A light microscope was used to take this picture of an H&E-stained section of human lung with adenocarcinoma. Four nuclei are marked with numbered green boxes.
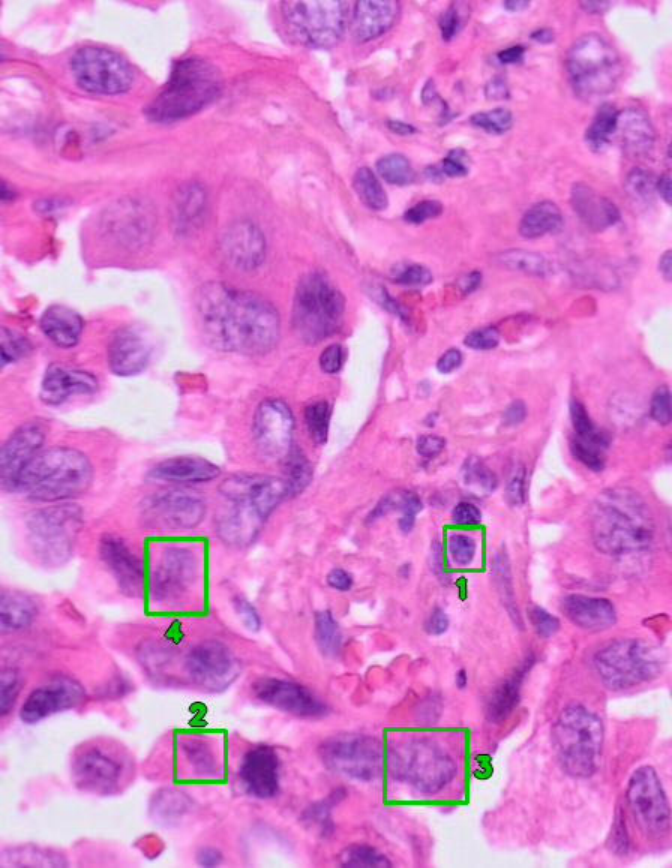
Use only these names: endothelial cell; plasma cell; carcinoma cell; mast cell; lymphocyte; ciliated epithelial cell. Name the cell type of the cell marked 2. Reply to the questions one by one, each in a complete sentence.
In the marked set, the cell given number 2 is a carcinoma cell.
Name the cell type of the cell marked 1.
Among the marked nuclei, number 1 belongs to a lymphocyte.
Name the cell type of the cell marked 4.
The cell indicated by marker 4 is a carcinoma cell in this section.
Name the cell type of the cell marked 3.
Cell 3, among those numbered, is a carcinoma cell.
